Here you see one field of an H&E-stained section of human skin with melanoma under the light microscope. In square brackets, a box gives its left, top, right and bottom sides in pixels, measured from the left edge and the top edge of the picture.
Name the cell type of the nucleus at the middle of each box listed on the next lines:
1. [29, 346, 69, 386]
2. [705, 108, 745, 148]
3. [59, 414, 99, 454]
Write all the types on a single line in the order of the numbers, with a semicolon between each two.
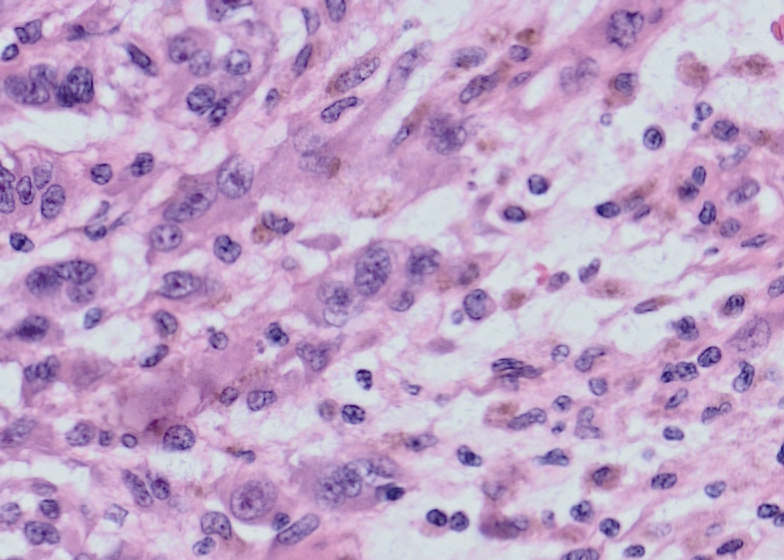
melanoma cell; macrophage or monocyte; melanoma cell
